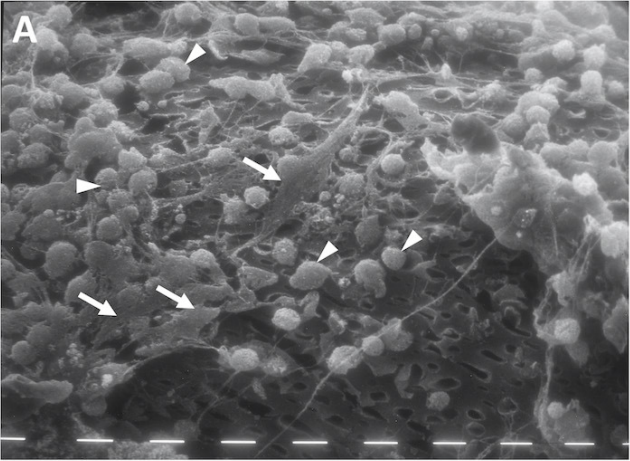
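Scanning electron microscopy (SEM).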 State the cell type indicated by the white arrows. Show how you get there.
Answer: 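They are elongated with tapering ends, unlike the rounded cells around them. That points to this answer: fibroblast-like cells.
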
